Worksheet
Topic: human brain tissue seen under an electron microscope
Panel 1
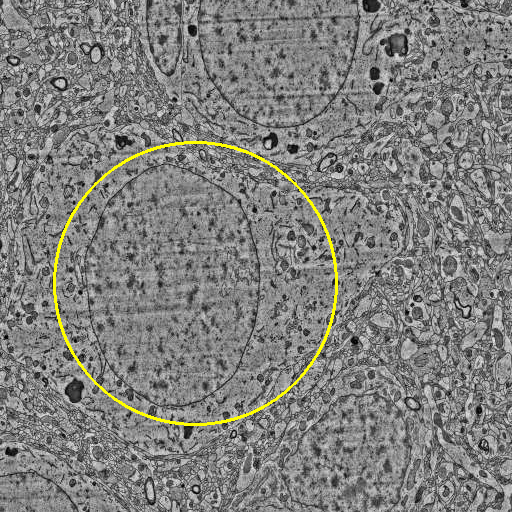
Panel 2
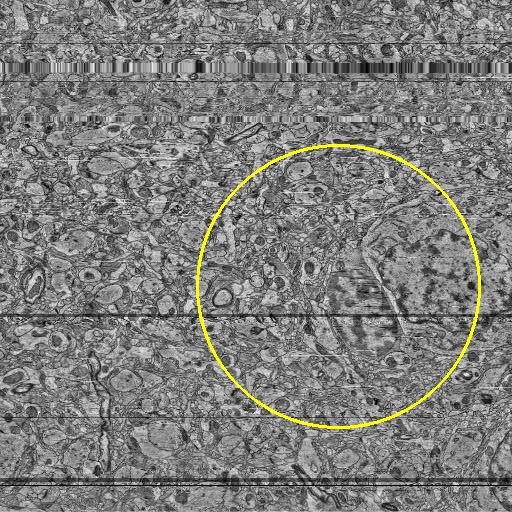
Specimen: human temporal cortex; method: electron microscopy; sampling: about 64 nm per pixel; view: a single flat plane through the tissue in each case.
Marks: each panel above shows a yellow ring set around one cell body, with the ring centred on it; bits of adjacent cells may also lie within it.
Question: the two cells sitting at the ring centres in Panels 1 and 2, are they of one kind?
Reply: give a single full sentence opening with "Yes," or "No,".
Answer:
No, the two ring-centre cells in Panel 1 and Panel 2 are of two kinds.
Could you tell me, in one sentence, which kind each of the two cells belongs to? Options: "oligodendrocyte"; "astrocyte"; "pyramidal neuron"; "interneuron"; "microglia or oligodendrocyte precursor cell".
At the centre of the first ring sits a pyramidal neuron, and at the centre of the second sits an oligodendrocyte.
